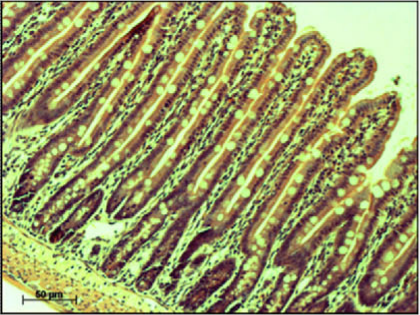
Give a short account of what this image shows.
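This is a section of small intestinal wall showing the mucosa with long, slender villi standing closely side by side. Each villus is covered by a single layer of columnar epithelial cells with dark, basally placed nuclei, among which many pale, rounded goblet cells are scattered. The core of each villus is a cellular lamina propria with numerous small dark nuclei. Toward the base, crypts lie between the villi above a thin band of muscle at the lower left. The overall architecture is regular and intact.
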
